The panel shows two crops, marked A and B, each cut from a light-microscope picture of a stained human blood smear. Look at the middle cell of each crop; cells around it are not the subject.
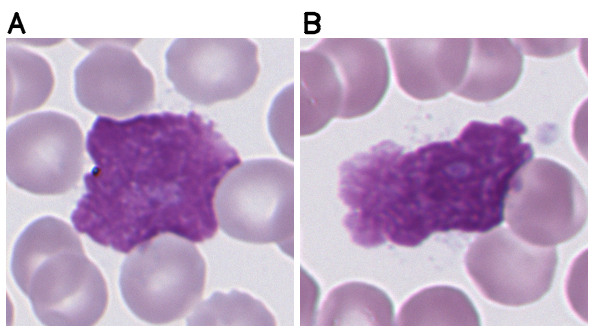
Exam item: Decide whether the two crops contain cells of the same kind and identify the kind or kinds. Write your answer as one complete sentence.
Yes, smudge cells are centred in both crops.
